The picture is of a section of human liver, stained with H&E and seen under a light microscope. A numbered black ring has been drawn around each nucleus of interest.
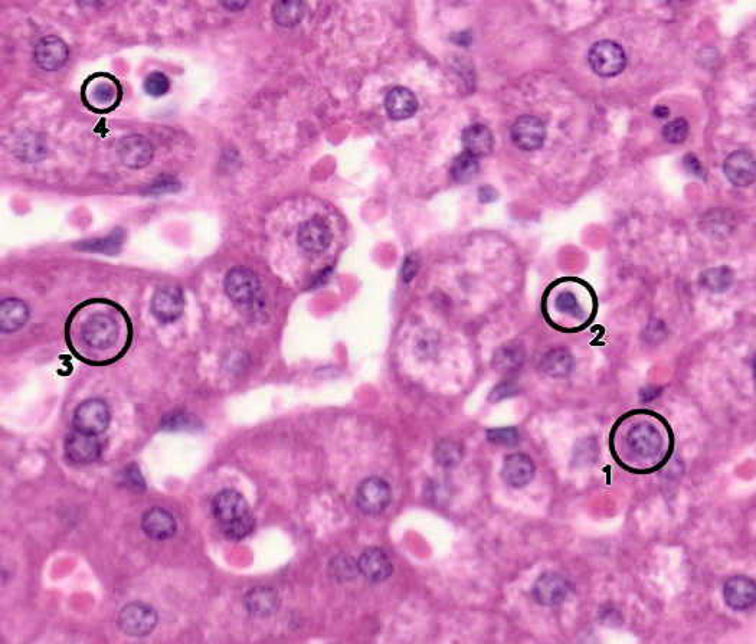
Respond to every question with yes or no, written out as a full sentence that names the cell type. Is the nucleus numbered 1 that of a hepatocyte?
Yes, the cell distinguished by number 1 is a hepatocyte.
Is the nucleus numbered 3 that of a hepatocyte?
Yes, the cell that number 3 points to is a hepatocyte.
